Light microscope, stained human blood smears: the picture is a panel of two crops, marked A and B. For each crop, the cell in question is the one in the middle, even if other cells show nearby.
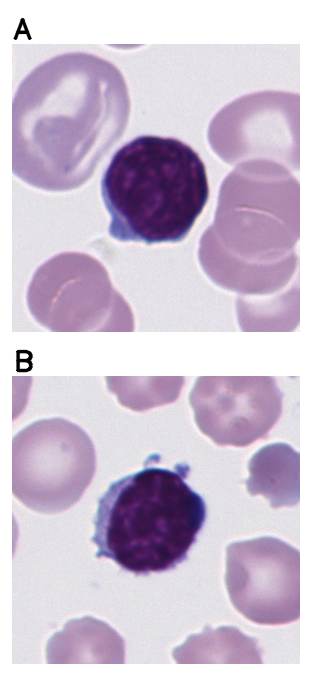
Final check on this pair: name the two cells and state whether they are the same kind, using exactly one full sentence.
Yes, the cells at the centre of both crops are typical lymphocytes.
